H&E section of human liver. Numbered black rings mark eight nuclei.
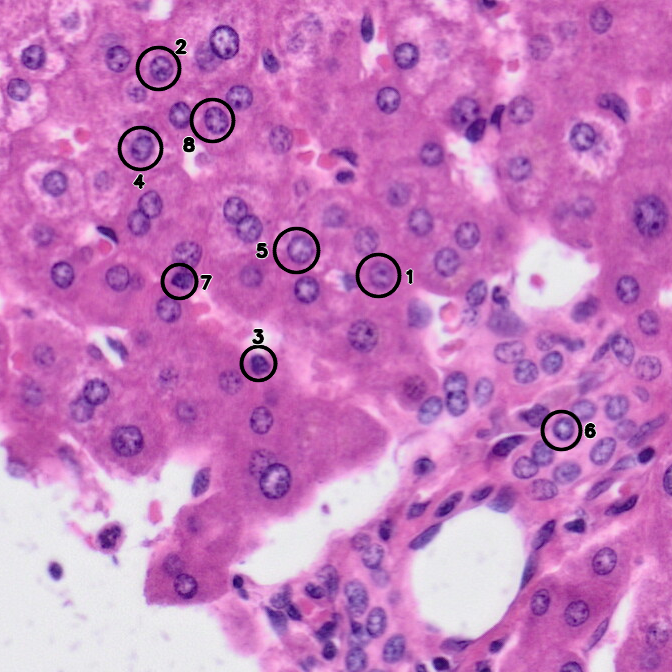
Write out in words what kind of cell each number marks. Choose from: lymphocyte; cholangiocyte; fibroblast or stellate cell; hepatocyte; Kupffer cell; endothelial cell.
Cell 1 is a hepatocyte, cell 2 is a hepatocyte, cell 3 is a fibroblast or stellate cell, cell 4 is a hepatocyte, cell 5 is a hepatocyte, cell 6 is a cholangiocyte, cell 7 is a fibroblast or stellate cell and cell 8 is a hepatocyte.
